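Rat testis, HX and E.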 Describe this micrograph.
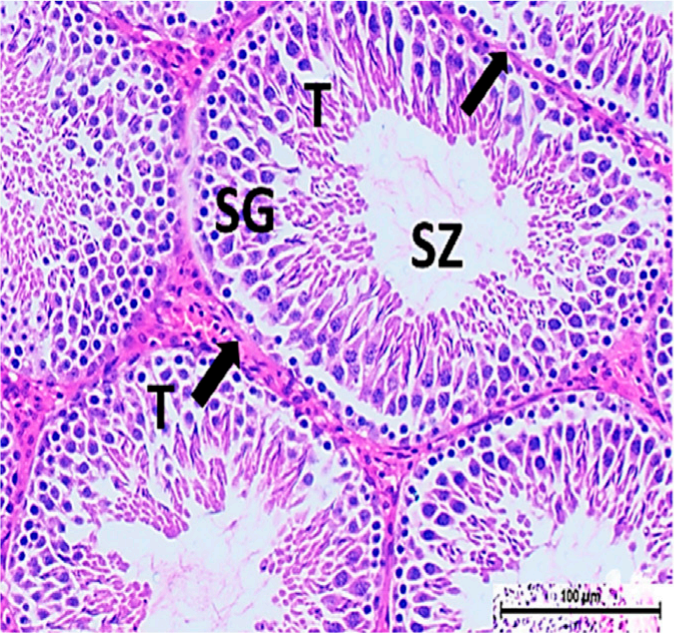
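Several rounded seminiferous tubules with smooth, regular outlines are packed together, separated by narrow pink interstitial tissue. Each is lined by many layers of cells with dark purple nuclei, the outermost row resting on a thin pink basement membrane, while elongated cells radiate inward toward a central lumen filled with pale fibrillar material, consistent with spermatozoa.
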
